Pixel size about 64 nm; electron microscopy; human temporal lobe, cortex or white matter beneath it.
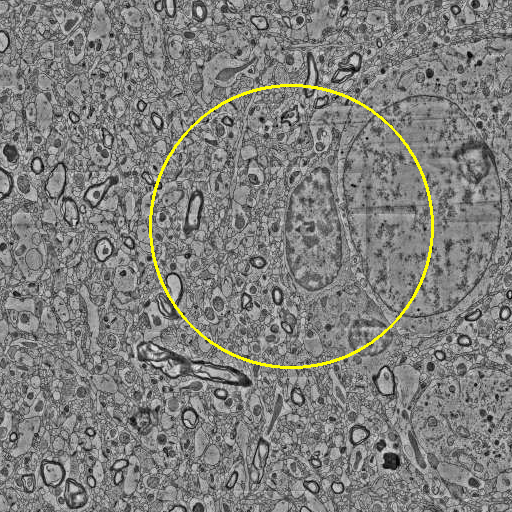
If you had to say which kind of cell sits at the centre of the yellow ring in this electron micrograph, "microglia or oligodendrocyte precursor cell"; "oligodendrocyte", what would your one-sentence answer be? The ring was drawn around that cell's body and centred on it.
The cell sitting at the centre of the ring is an oligodendrocyte.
